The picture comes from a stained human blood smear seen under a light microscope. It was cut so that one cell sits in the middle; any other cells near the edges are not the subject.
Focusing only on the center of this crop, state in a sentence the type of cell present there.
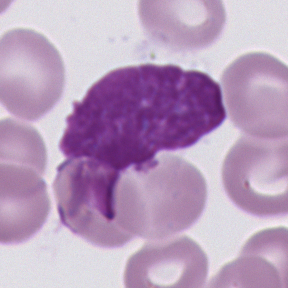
The middle cell in this particular crop is a smudge cell.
